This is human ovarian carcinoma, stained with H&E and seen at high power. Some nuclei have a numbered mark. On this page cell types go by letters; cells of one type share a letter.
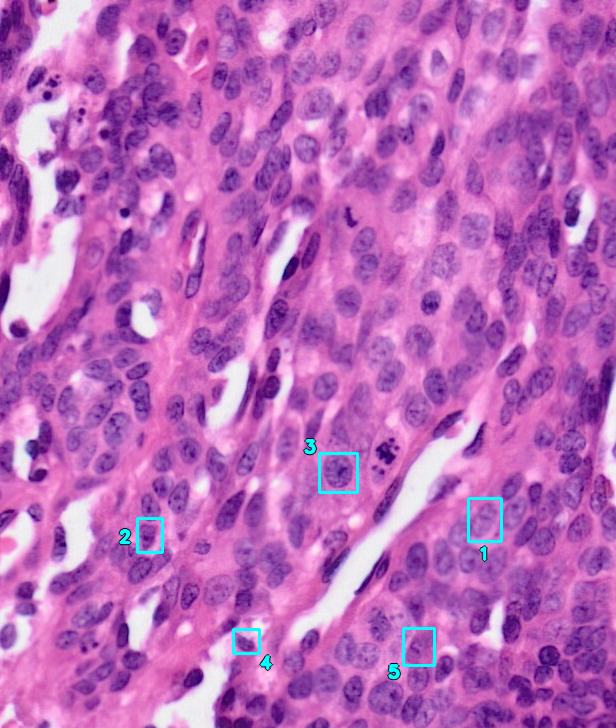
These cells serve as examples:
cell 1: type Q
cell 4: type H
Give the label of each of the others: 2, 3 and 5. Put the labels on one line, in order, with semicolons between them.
type H; type H; type Q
